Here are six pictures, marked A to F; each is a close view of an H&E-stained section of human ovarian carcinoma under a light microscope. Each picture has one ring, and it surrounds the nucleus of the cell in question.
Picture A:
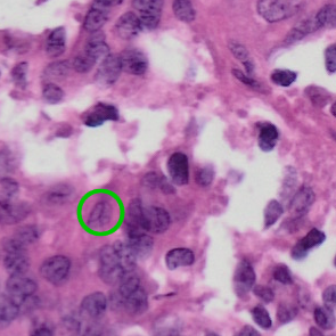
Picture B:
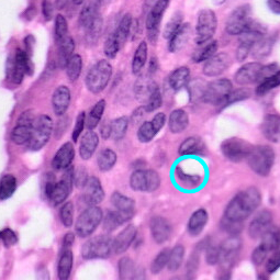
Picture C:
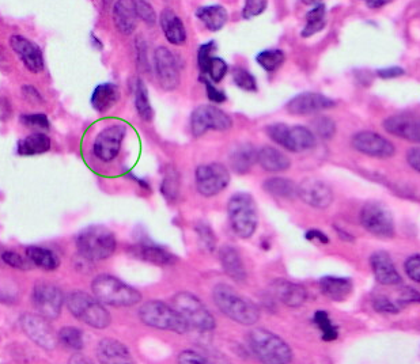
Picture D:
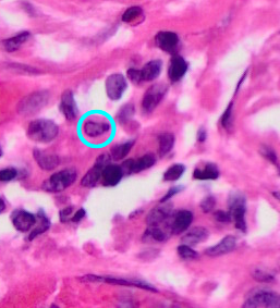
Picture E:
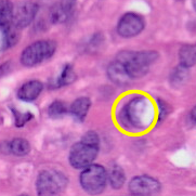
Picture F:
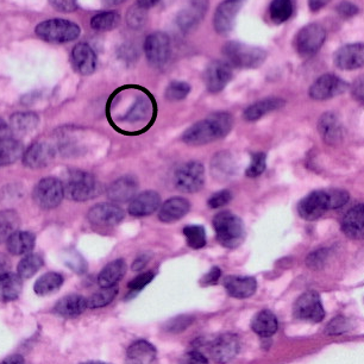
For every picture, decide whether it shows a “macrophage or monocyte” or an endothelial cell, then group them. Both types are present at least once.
A: endothelial cell
B: endothelial cell
C: macrophage or monocyte
D: macrophage or monocyte
E: endothelial cell
F: endothelial cell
